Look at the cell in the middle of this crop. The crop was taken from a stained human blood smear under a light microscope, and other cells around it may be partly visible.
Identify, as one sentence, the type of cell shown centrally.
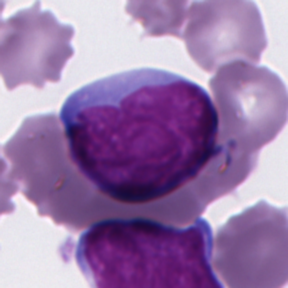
The cell in the middle of the field of view is a myeloblast.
